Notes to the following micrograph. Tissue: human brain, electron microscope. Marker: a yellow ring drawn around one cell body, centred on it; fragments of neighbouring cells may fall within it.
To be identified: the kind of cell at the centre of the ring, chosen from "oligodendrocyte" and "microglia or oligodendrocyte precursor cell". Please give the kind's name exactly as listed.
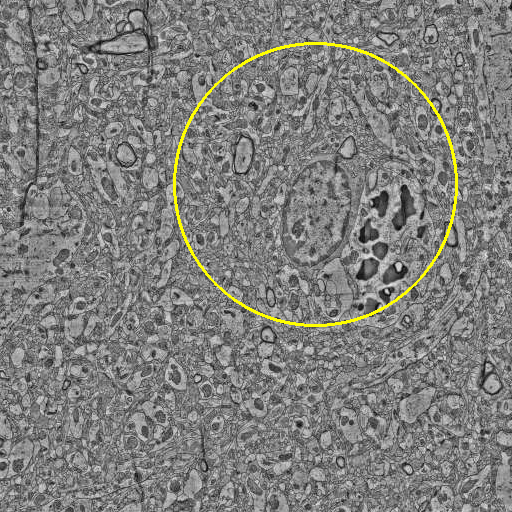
oligodendrocyte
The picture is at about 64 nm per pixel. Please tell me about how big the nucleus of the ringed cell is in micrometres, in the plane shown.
Approximately 7 by 4 micrometers, which makes the nucleus clearly longer than it is wide in this plane.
